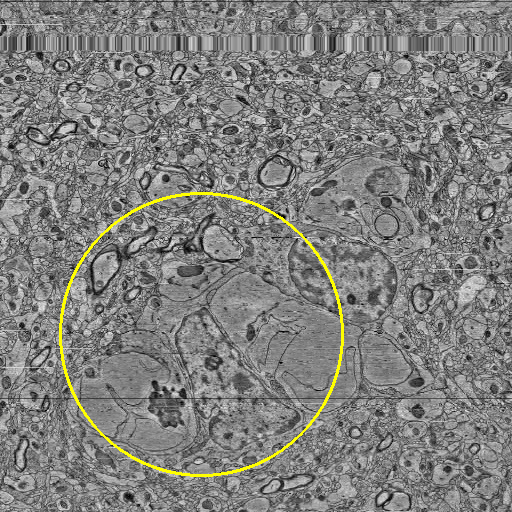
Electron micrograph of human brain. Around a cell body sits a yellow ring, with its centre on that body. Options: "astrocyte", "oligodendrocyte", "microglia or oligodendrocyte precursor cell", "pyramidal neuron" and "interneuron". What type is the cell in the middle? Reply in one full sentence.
The cell sitting at the centre of the yellow ring is a microglial cell or oligodendrocyte precursor cell.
